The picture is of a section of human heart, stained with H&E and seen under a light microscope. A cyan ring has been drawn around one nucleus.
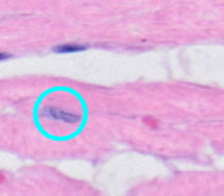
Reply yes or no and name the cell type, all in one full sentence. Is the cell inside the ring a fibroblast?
No, within this section, the cell inside the ring is categorized as a cardiomyocyte rather than a fibroblast.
